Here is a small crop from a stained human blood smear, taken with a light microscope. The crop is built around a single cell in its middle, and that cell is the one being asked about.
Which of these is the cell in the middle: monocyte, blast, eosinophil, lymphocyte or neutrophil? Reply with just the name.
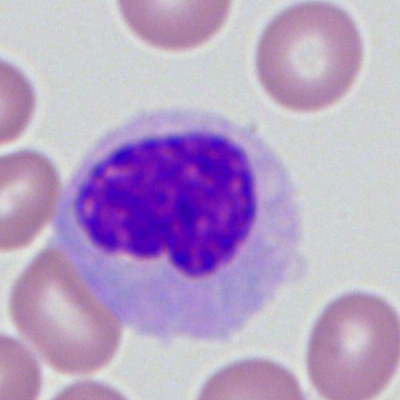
monocyte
